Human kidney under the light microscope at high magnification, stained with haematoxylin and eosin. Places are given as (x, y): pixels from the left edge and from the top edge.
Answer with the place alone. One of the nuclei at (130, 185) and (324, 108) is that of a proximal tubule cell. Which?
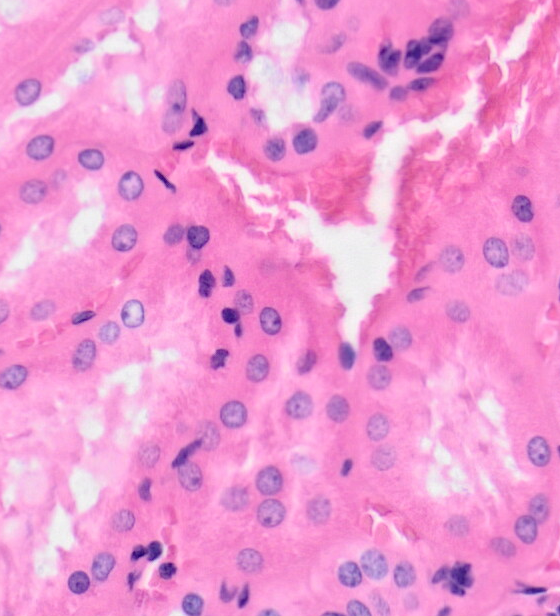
(130, 185)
